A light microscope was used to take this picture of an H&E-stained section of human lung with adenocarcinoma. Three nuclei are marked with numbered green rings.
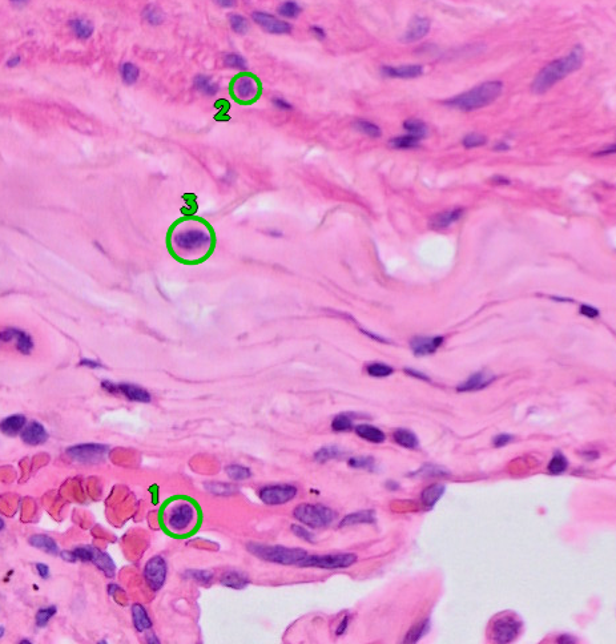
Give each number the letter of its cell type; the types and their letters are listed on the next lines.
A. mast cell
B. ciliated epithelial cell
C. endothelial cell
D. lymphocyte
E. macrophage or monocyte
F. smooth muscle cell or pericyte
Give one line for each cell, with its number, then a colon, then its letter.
1: D
2: F
3: A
